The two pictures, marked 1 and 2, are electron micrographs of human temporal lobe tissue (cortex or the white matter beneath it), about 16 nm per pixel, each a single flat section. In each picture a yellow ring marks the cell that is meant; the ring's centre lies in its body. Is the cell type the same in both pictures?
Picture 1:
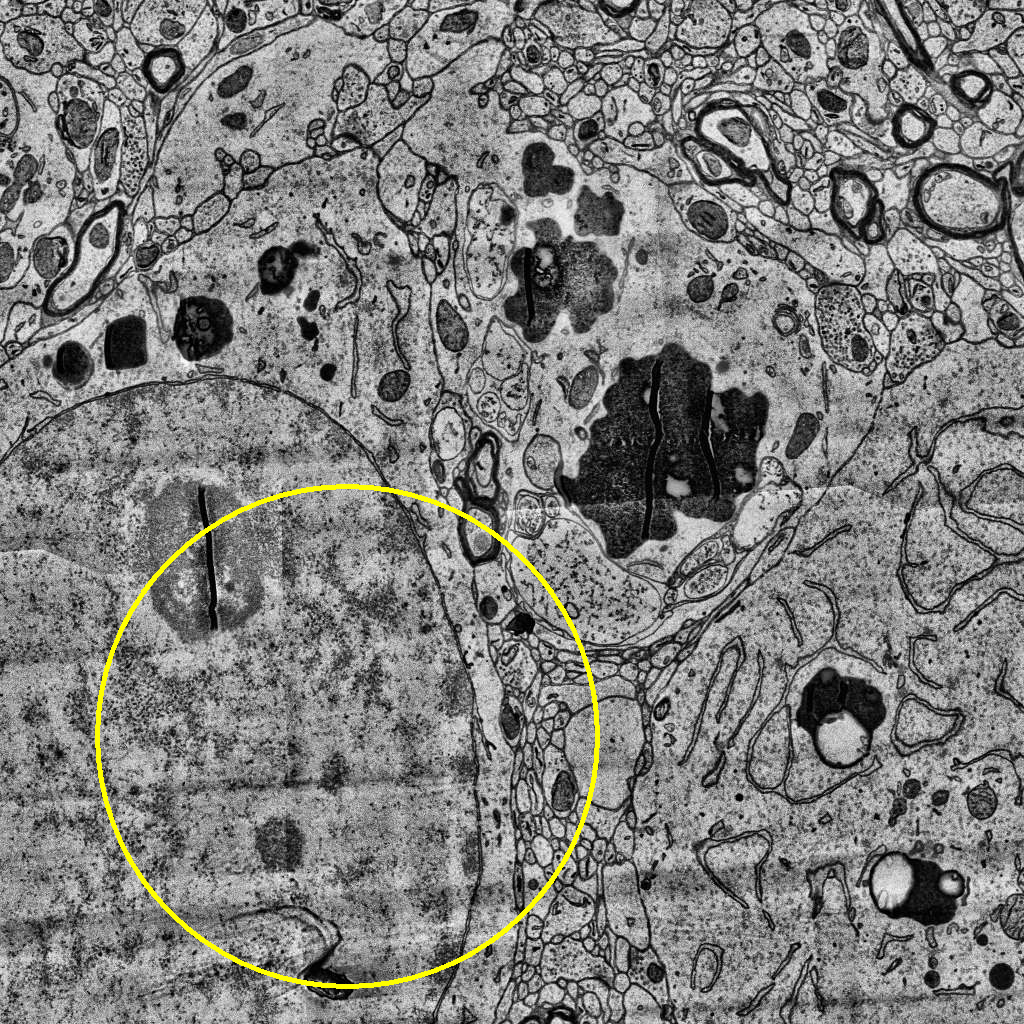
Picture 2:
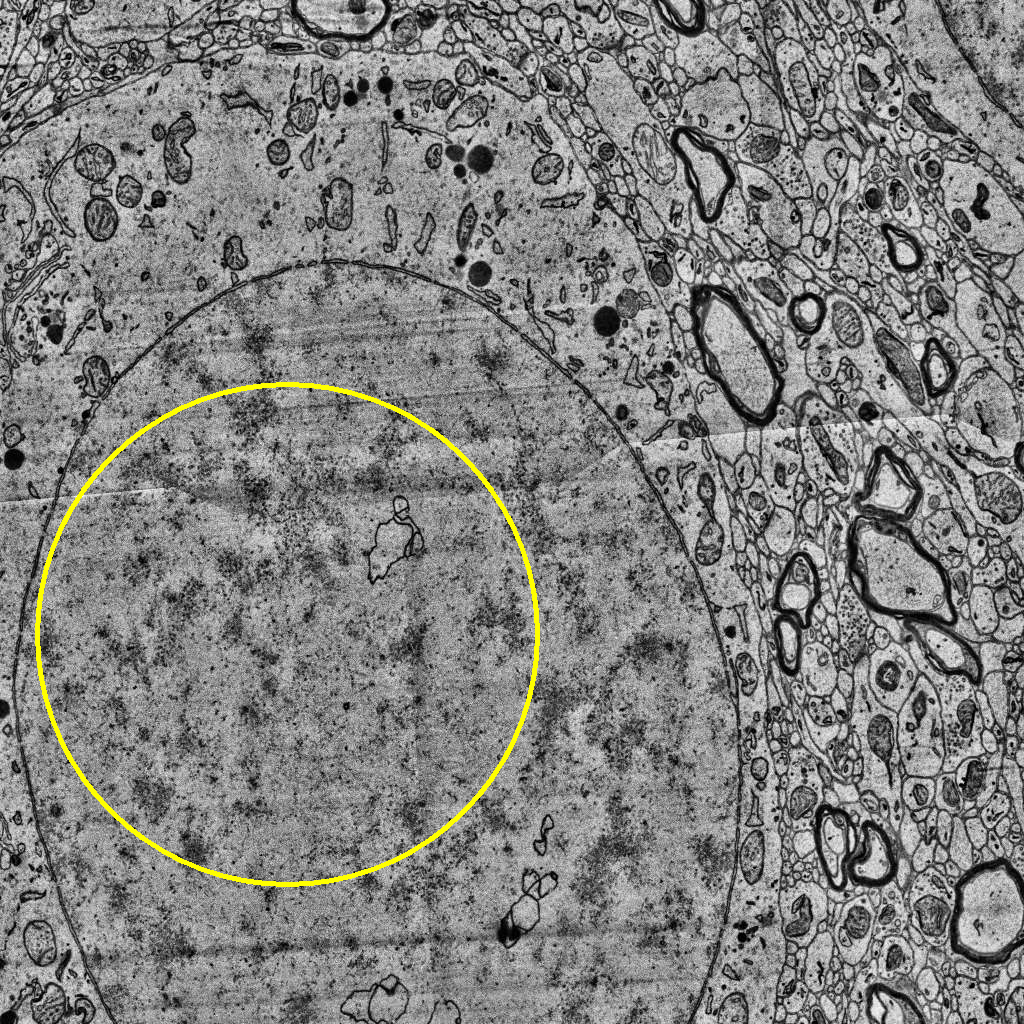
Yes; the cells in both pictures are pyramidal neurons.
